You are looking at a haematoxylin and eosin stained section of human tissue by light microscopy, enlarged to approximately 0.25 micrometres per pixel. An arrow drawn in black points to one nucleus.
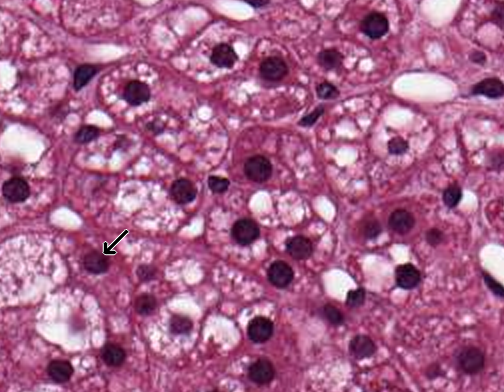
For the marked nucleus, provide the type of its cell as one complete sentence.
The marked nucleus is the nucleus of an adrenal cortical cell.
